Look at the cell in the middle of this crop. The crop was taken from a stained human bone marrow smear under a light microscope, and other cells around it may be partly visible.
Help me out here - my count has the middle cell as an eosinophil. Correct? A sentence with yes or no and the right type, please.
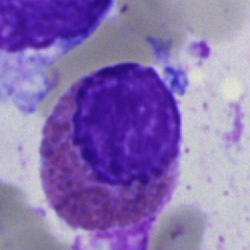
Yes, the middle of the crop is occupied by an eosinophil.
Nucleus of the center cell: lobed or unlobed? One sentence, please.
Just one compact nuclear mass here, round, oval or kidney-shaped.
